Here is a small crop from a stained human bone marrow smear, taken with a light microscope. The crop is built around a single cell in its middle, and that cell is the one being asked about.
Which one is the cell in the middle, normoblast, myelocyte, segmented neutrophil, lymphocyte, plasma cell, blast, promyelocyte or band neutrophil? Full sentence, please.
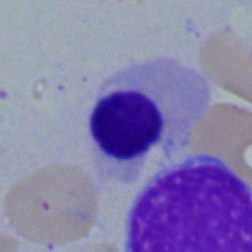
The crop shows a normoblast in its centre.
